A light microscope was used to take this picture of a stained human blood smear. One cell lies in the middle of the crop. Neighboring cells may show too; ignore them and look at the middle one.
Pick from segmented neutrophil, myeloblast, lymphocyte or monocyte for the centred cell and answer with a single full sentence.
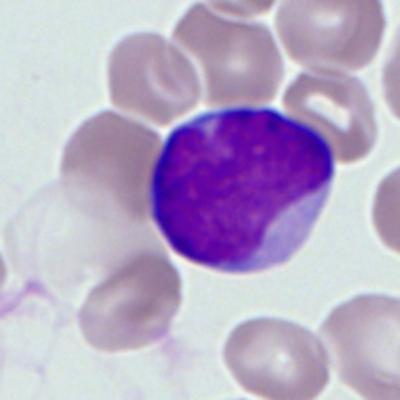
Answering briefly, the cell in the middle is a myeloblast.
